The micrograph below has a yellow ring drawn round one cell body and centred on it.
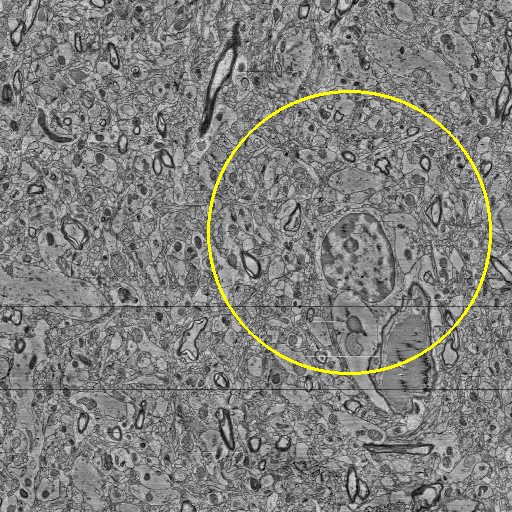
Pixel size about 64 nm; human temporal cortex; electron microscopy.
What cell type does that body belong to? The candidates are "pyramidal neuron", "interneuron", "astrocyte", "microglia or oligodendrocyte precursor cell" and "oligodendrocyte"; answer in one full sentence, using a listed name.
This is a microglial cell or oligodendrocyte precursor cell, the cell whose body lies at the centre of the ring.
